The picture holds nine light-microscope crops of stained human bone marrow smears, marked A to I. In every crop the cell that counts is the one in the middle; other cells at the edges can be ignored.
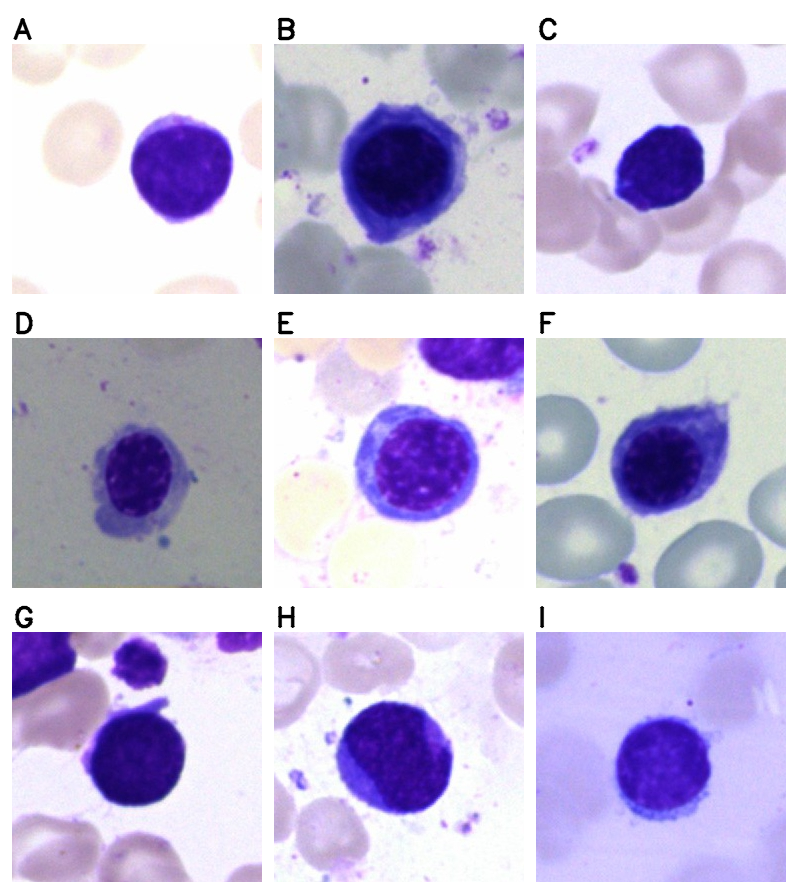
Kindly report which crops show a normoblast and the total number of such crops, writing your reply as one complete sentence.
Of all the crops, four show normoblasts: B, D, E and F.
